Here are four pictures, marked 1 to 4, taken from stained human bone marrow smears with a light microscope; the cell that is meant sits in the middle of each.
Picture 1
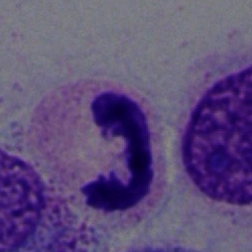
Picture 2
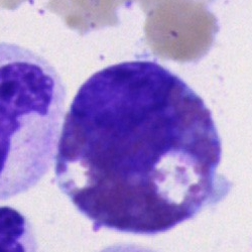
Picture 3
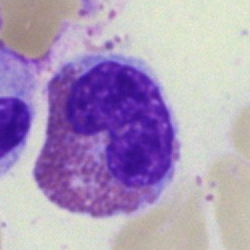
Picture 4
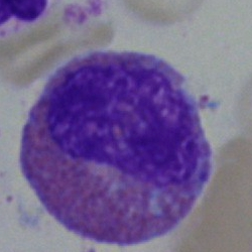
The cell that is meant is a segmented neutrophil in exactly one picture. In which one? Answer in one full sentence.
Picture 1 is the one that shows the segmented neutrophil.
